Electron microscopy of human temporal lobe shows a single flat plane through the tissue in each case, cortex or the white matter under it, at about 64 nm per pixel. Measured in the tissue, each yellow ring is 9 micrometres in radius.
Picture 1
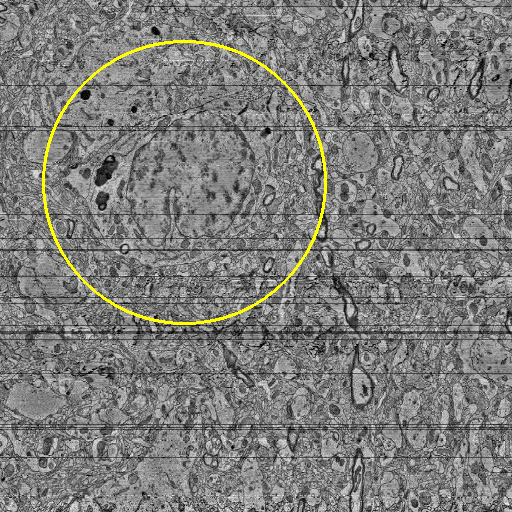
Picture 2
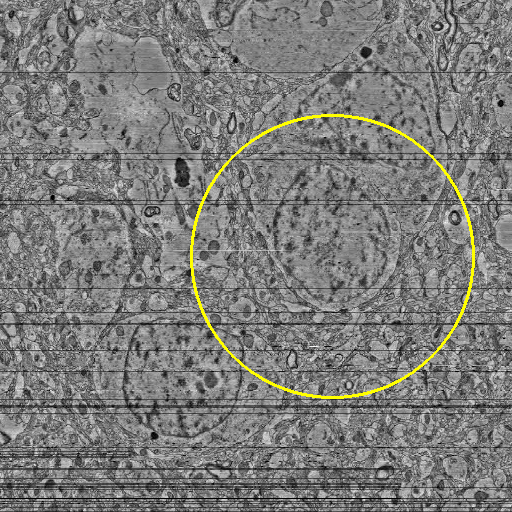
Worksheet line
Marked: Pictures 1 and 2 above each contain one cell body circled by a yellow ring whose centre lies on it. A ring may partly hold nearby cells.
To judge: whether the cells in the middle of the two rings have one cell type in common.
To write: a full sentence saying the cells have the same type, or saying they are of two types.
The cells in the middle of the rings in Picture 1 and Picture 2 have the same type.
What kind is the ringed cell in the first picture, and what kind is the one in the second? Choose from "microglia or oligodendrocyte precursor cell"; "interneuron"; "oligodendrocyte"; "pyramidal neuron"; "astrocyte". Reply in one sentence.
The cell at the ring centre is an interneuron in both pictures.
